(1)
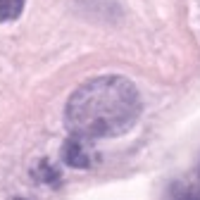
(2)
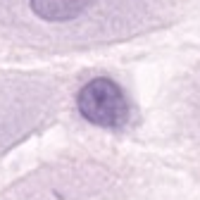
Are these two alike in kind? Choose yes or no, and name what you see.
No. First a cytotrophoblast, second a maternal decidual cell.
